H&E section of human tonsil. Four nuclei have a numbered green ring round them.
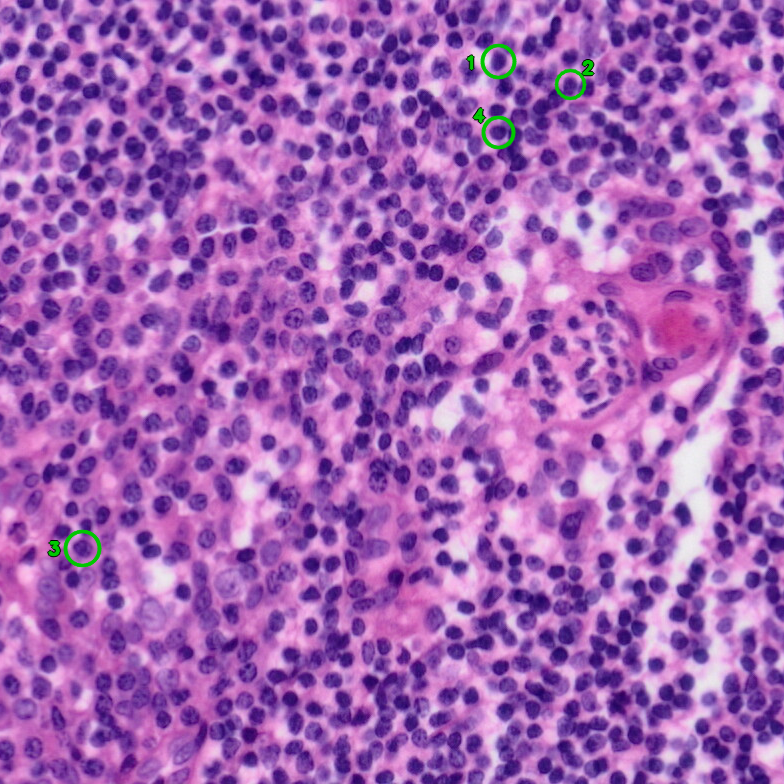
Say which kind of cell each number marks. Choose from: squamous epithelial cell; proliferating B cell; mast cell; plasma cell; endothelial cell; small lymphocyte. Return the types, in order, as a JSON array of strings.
["small lymphocyte", "small lymphocyte", "plasma cell", "small lymphocyte"]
